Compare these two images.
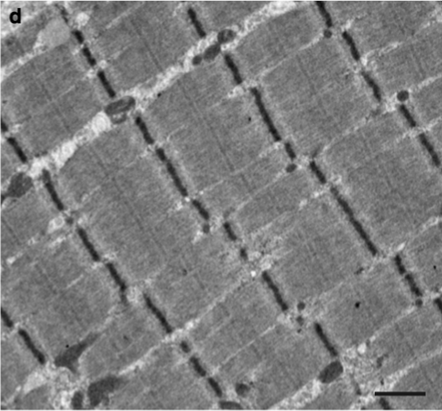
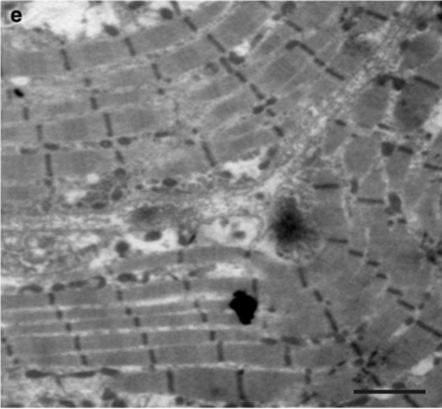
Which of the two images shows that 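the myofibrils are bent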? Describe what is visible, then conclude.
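Second image: rows of Z-discs curve and myofibrils change direction. First image: myofibrils run straight and parallel with Z-discs in straight rows. On this evidence: the second image.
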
